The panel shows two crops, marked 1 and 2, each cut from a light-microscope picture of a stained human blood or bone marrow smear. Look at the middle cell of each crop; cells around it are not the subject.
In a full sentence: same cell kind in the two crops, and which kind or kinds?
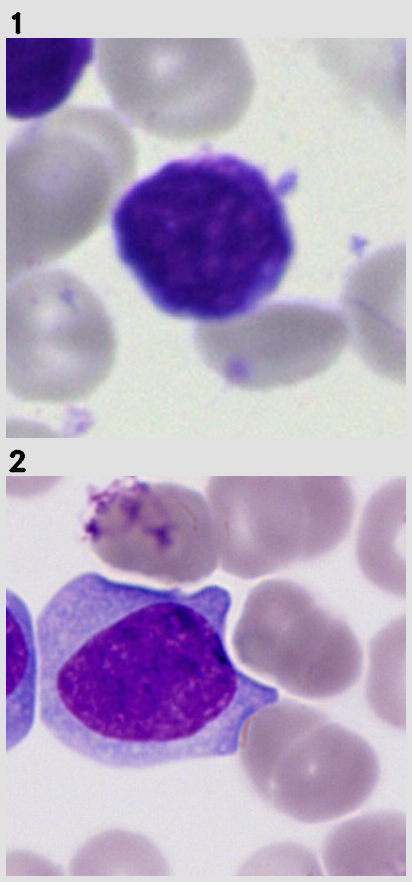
Yes, in short, both crops show blasts.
